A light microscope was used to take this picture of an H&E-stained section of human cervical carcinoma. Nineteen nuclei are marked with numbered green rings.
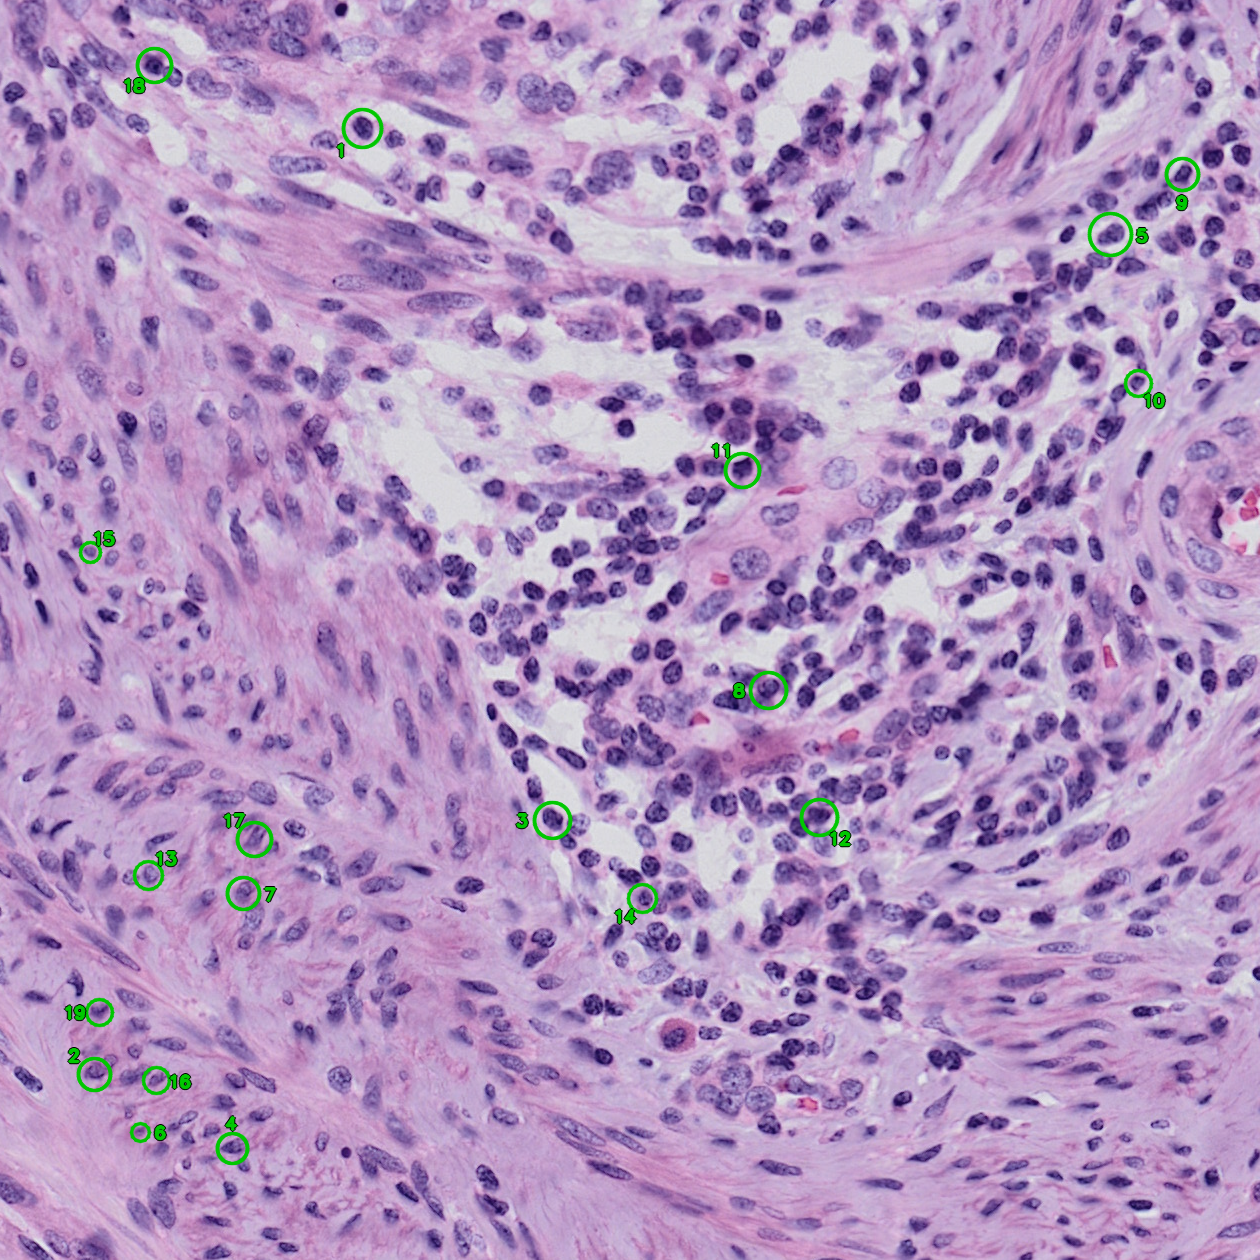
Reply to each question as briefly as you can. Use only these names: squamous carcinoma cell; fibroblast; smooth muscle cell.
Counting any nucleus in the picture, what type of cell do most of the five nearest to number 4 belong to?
smooth muscle cell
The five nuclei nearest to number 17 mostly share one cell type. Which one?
smooth muscle cell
